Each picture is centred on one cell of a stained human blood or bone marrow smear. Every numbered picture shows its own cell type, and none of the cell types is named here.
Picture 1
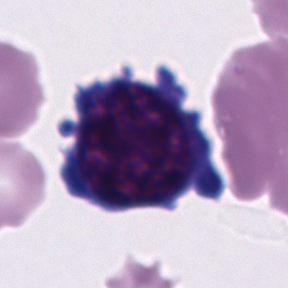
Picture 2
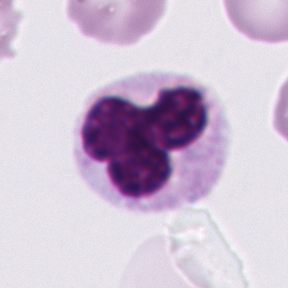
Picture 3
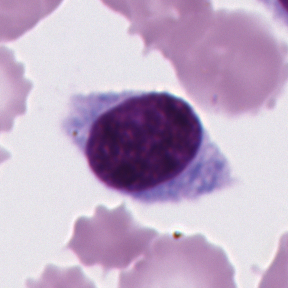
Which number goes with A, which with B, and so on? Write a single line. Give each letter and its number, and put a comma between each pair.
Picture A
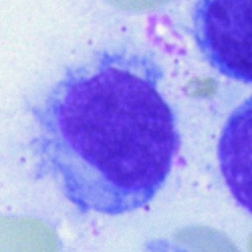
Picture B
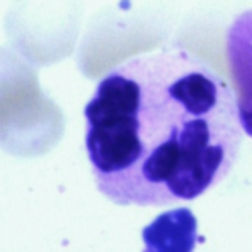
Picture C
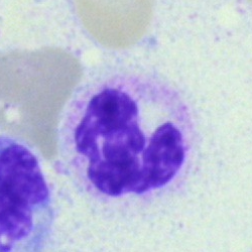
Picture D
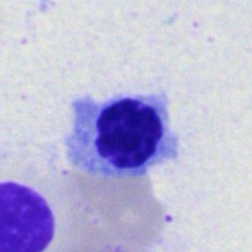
A 3, B 2, C 2, D 1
